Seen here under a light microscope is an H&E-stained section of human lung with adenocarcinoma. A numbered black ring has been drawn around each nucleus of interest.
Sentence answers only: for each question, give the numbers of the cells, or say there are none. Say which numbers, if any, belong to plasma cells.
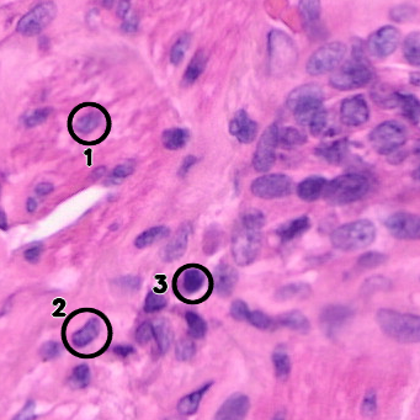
Only cell 3 qualifies as a plasma cell among the numbered cells.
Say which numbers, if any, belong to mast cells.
Cell 2 is a mast cell and is the only numbered cell of that kind.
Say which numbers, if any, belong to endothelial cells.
Found among the numbered cells are no endothelial cells.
